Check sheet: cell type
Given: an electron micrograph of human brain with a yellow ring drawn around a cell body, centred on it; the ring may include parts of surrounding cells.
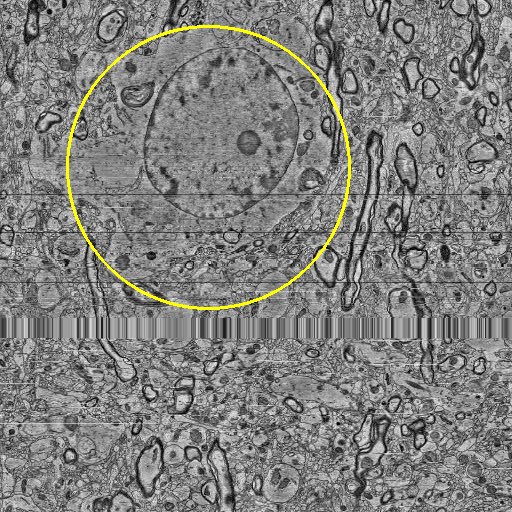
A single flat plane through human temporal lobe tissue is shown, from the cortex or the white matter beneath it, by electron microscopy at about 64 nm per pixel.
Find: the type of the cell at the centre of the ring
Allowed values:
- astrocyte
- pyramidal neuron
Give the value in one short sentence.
Here the ringed cell is an astrocyte.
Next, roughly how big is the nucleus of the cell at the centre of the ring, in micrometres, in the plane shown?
The ringed cell's nucleus is about 12 micrometres long and 9 micrometres wide in this plane.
